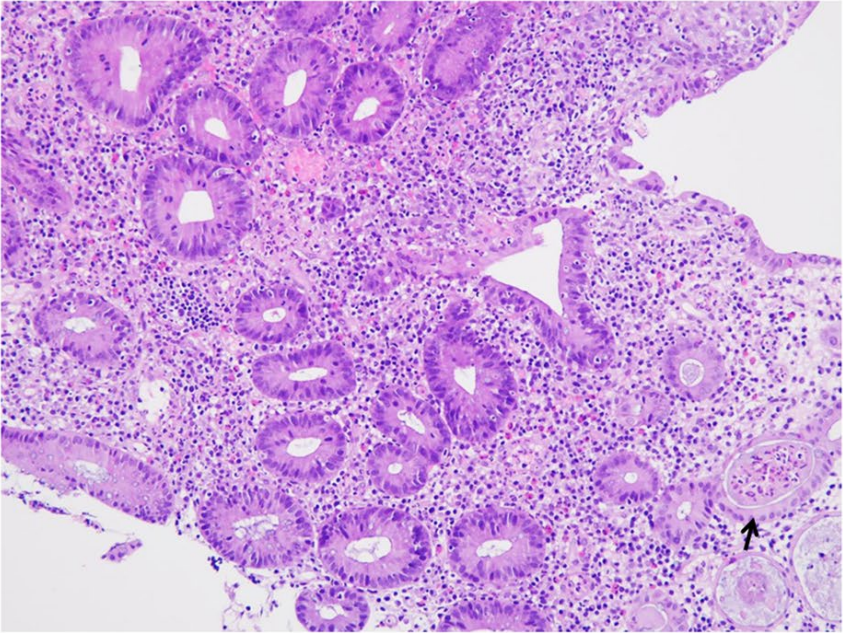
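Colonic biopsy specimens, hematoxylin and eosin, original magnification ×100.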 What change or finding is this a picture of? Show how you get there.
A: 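Infiltration of inflammatory cells. The stroma between the crypts is densely packed with small round nucleated cells. Small dark round nuclei crowd the space between the glands.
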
